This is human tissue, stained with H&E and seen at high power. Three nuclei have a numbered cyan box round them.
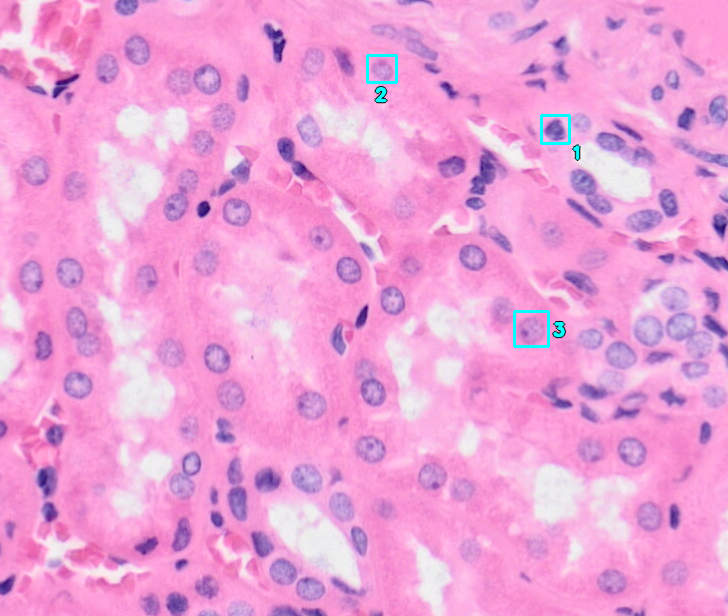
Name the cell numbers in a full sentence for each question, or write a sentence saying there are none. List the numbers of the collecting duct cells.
Cell 1 is a collecting duct cell, which is true of none of the other numbered cells.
